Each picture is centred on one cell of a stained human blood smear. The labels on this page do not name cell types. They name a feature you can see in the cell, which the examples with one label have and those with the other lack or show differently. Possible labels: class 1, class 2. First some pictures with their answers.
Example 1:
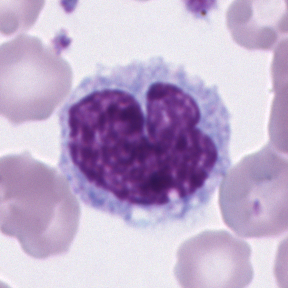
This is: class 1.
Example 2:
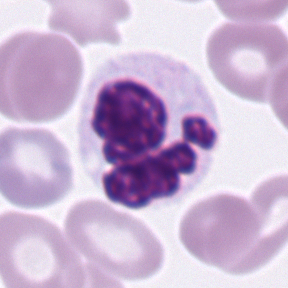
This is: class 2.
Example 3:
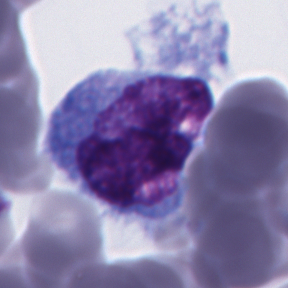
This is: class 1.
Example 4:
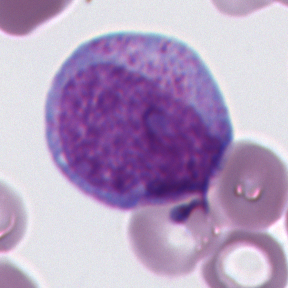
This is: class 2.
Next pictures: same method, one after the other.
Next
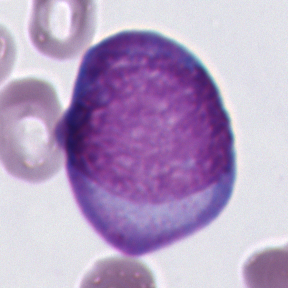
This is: class 1.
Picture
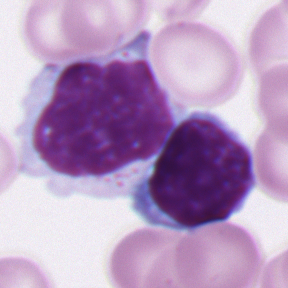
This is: class 1.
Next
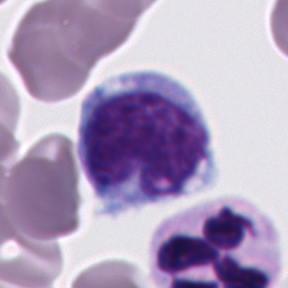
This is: class 1.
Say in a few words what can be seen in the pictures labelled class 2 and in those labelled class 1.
class 2, smooth outline; class 1, ragged outline or projections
